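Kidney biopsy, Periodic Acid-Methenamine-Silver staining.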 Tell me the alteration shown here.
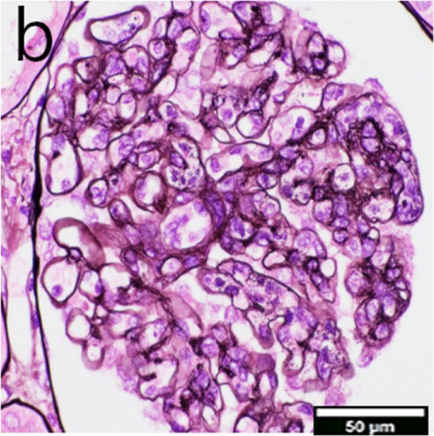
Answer: Double contours of the glomerular basement membrane.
